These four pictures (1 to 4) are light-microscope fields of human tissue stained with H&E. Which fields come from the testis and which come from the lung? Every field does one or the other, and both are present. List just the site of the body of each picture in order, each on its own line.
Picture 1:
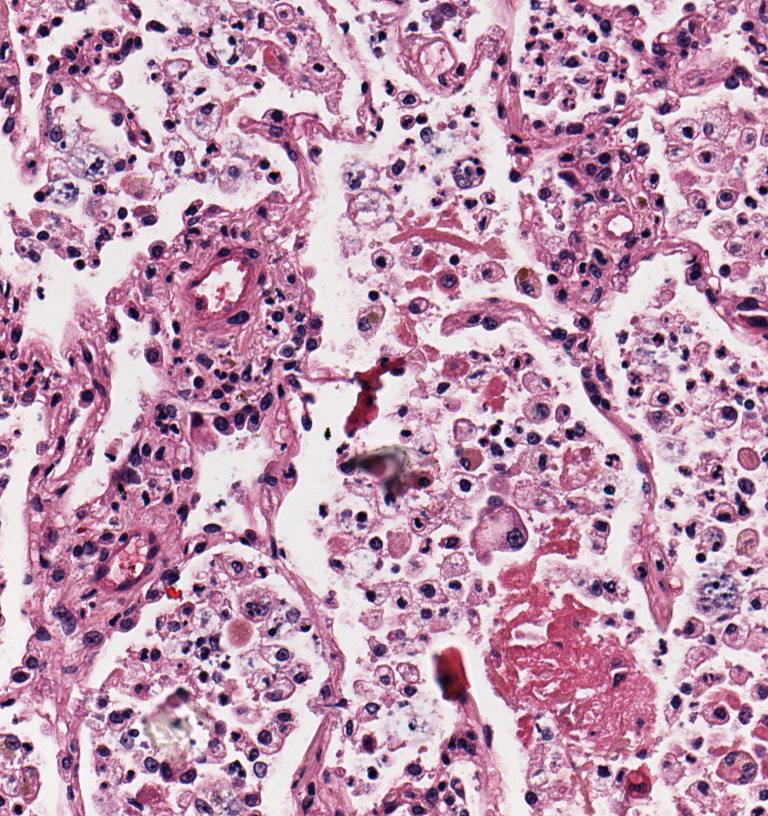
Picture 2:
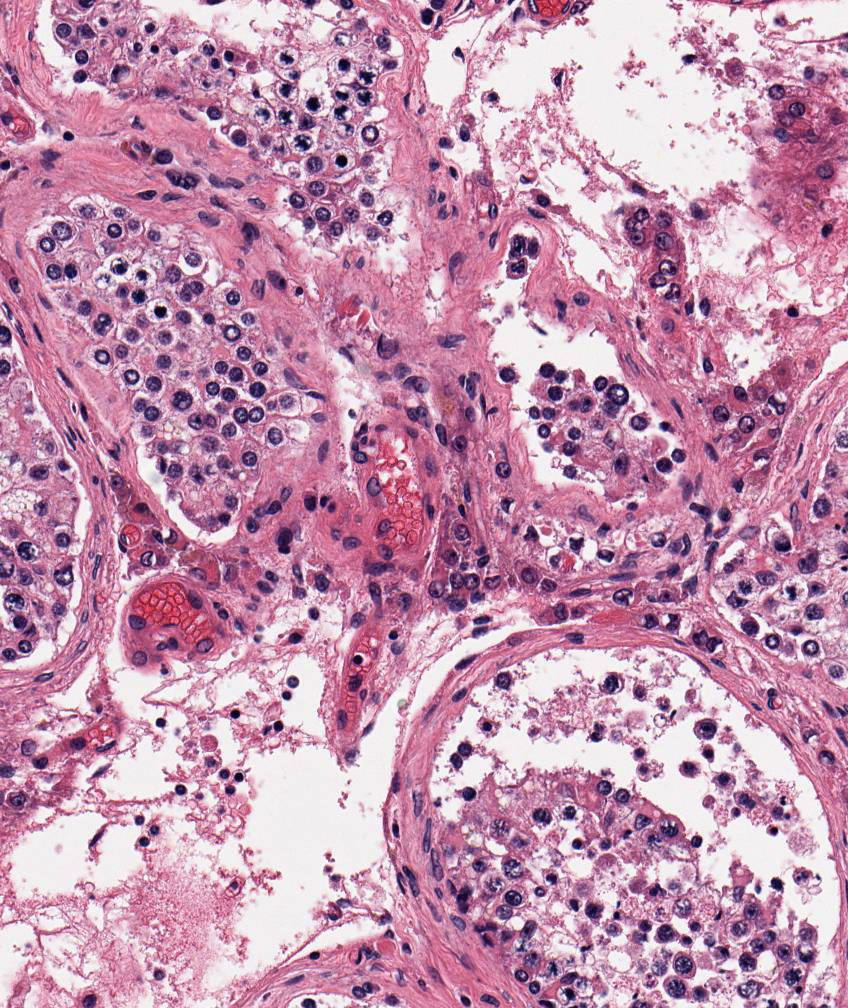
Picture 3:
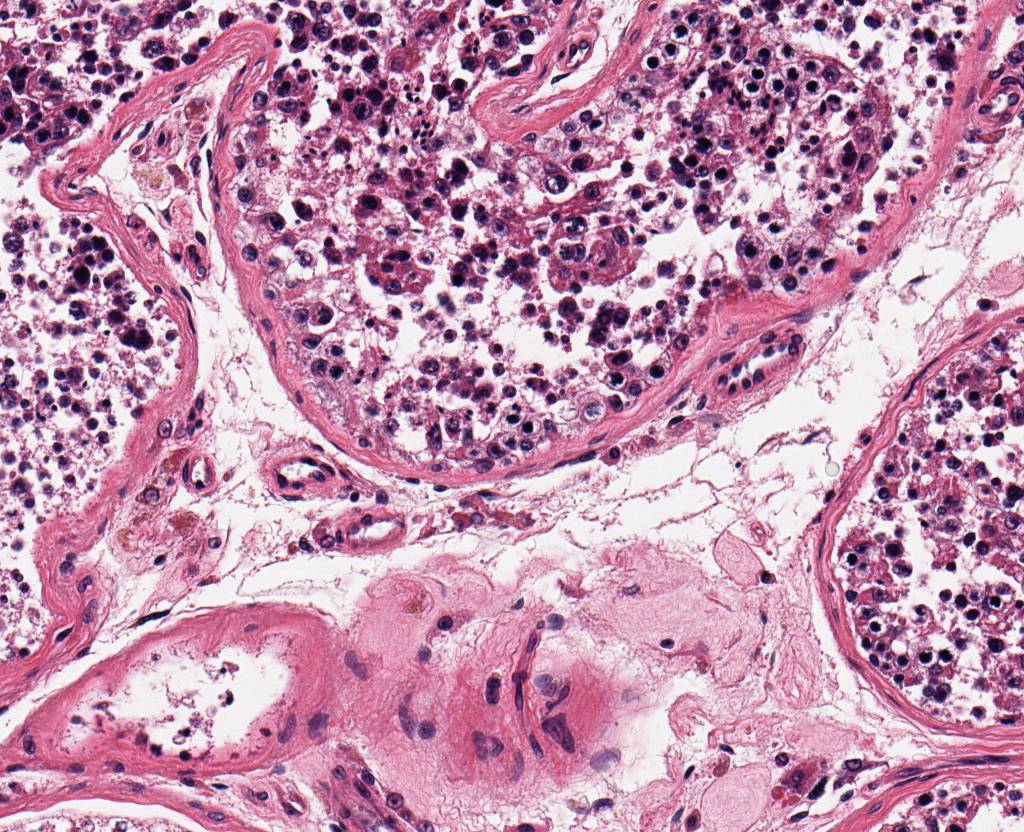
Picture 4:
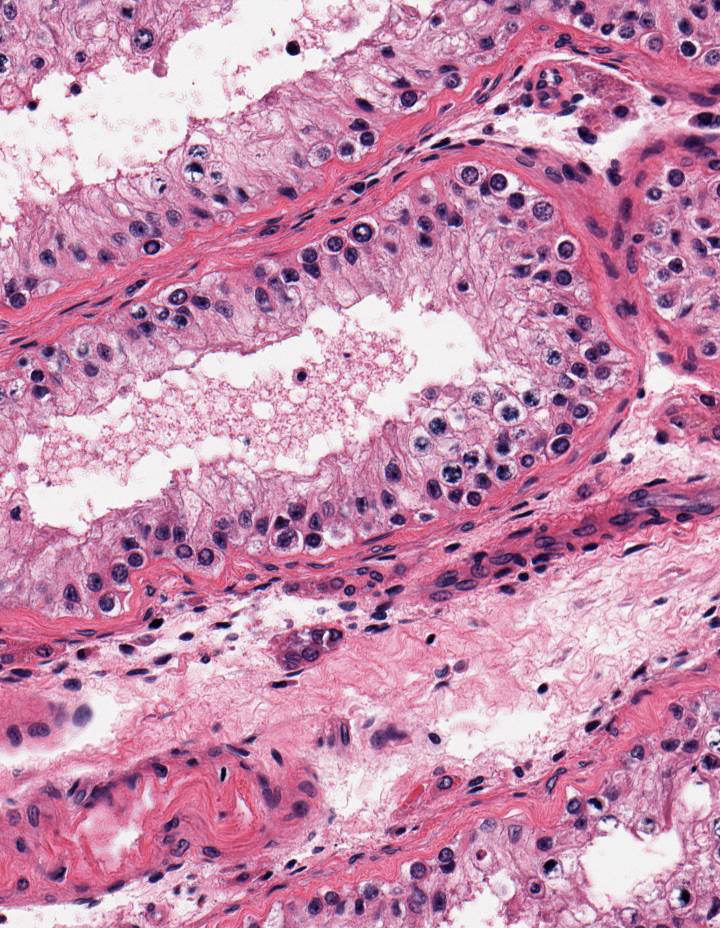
lung
testis
testis
testis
